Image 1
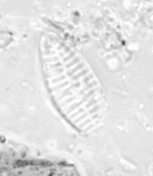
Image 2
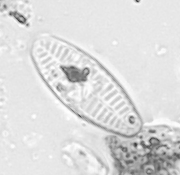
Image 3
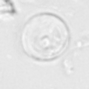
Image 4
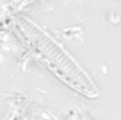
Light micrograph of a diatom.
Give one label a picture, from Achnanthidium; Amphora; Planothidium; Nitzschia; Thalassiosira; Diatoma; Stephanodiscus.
(1) Planothidium
(2) Planothidium
(3) Thalassiosira
(4) Nitzschia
